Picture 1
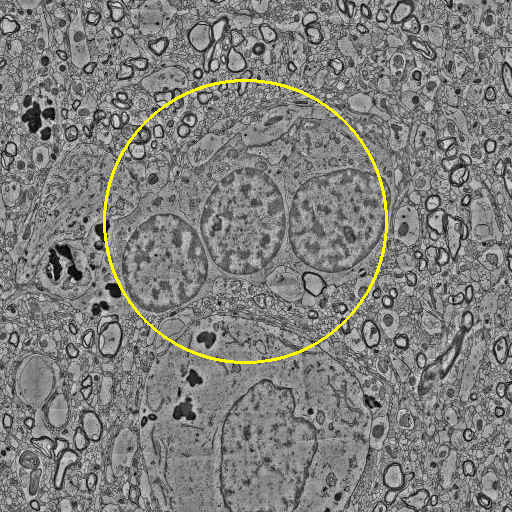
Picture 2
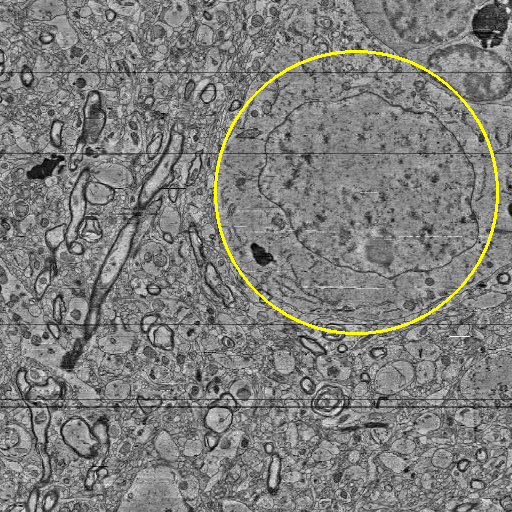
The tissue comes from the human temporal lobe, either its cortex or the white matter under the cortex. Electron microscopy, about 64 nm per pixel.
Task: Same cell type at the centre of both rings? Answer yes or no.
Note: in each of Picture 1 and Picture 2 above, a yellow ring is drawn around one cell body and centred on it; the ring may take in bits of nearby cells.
no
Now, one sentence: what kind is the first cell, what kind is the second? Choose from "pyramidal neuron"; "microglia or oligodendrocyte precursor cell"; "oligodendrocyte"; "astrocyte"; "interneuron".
The first picture has an oligodendrocyte at its ring centre, and the second has a pyramidal neuron.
